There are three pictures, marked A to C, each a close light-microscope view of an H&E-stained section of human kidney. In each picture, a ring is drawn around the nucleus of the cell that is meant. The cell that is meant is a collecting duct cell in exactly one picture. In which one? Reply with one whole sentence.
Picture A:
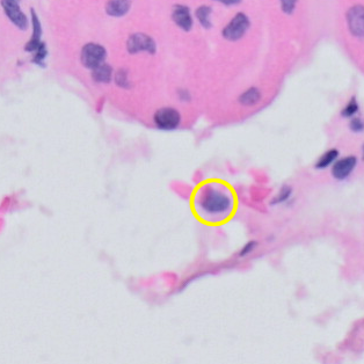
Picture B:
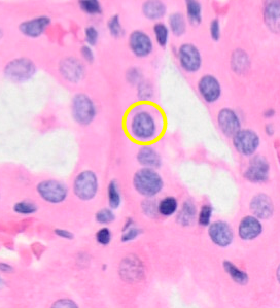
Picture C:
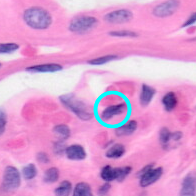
The cell in picture B is the collecting duct cell.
